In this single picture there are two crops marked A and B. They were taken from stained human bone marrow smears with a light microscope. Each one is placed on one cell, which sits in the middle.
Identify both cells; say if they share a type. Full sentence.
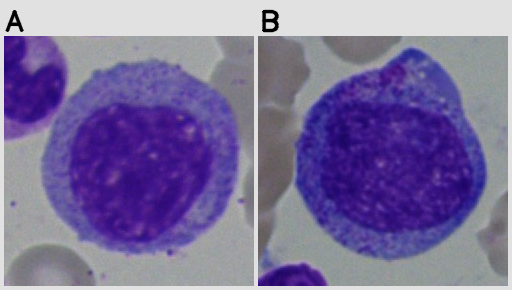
Yes, the cells at the centre of the two crops are both promyelocytes.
